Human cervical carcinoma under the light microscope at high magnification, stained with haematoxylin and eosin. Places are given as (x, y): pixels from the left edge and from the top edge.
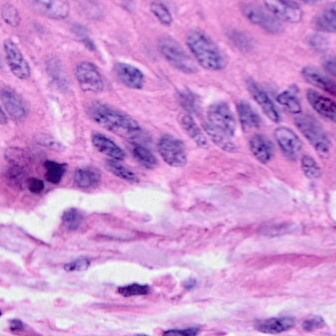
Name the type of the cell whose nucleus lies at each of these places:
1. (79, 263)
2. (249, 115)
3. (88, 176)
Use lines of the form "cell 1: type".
cell 1: fibroblast
cell 2: squamous carcinoma cell
cell 3: squamous carcinoma cell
